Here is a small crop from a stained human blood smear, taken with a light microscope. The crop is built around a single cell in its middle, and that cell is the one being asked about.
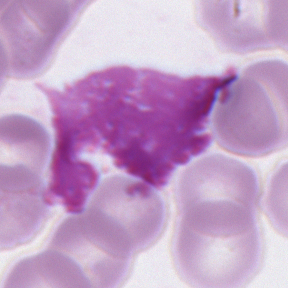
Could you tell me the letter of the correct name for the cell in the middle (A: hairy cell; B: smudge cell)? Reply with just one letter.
B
